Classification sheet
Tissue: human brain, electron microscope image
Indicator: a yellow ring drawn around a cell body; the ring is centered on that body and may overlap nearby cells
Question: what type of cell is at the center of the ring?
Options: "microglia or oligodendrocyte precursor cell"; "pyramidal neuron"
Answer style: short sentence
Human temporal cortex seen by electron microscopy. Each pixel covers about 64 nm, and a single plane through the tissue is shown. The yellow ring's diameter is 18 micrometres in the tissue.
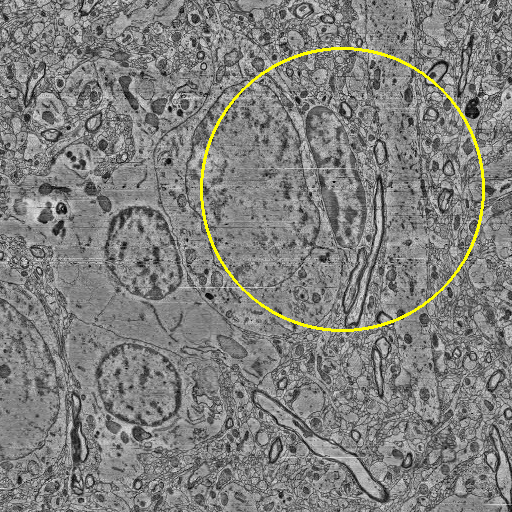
At the ring's center is a microglial cell or oligodendrocyte precursor cell.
